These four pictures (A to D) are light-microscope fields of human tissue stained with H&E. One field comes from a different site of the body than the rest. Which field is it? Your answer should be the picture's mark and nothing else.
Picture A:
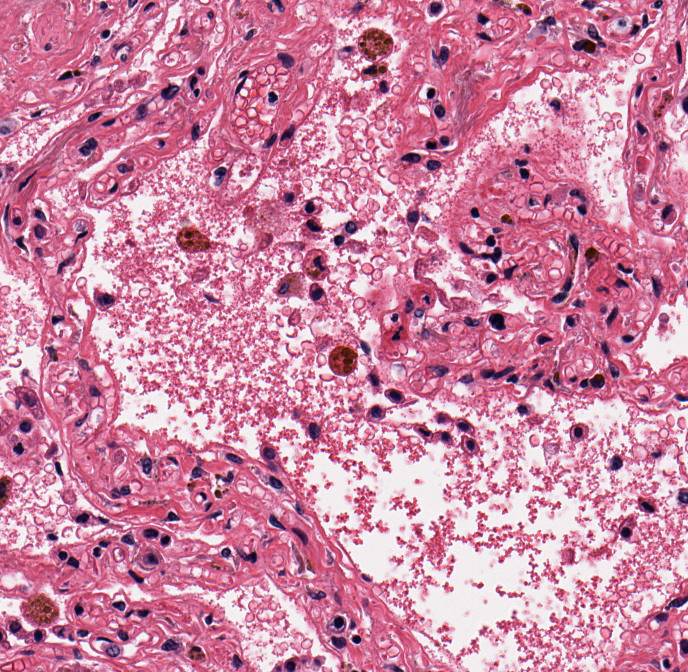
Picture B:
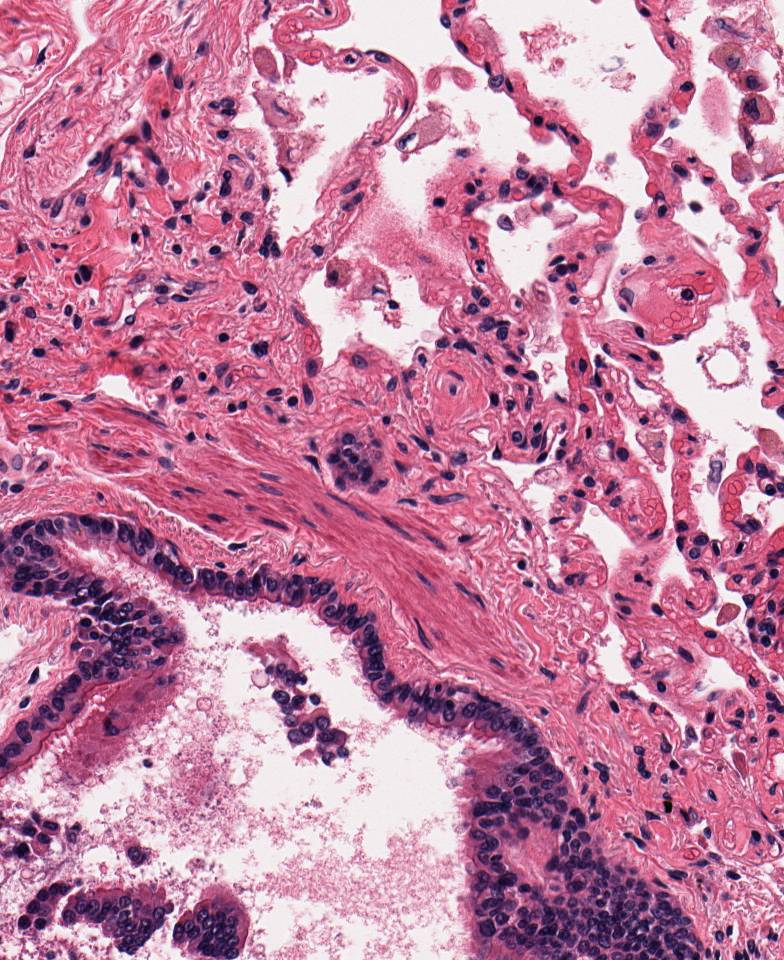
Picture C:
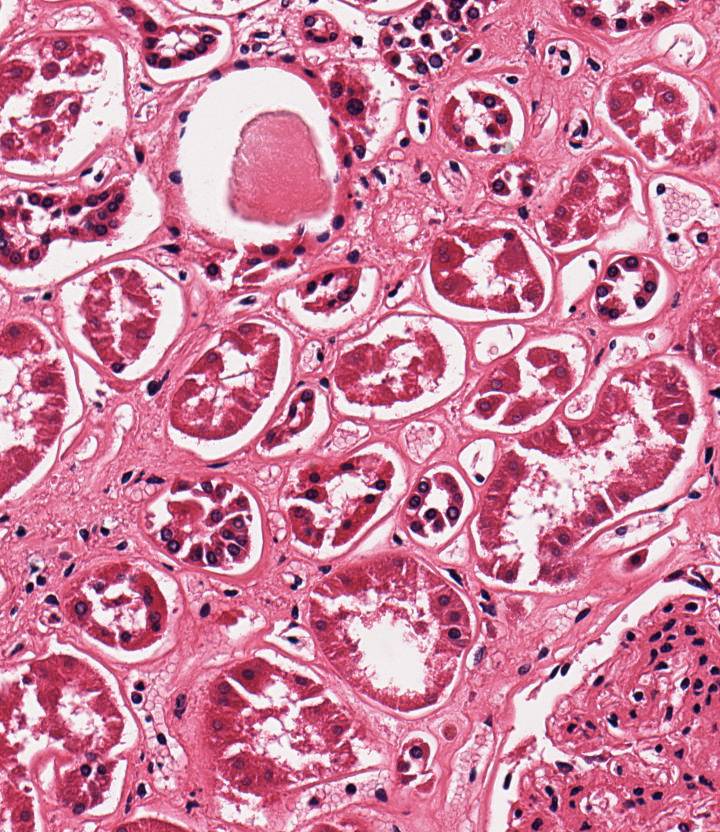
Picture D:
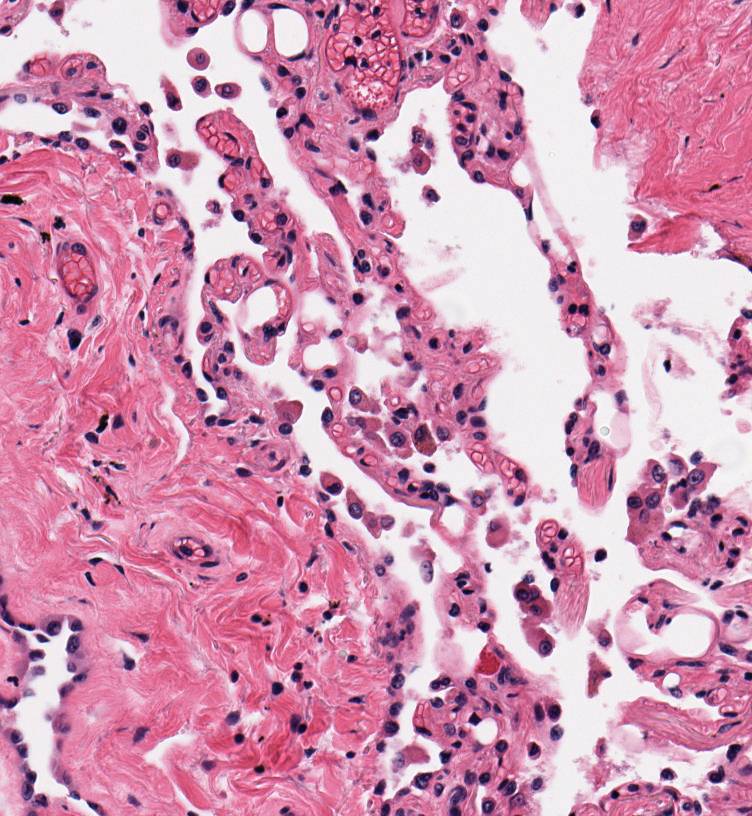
C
